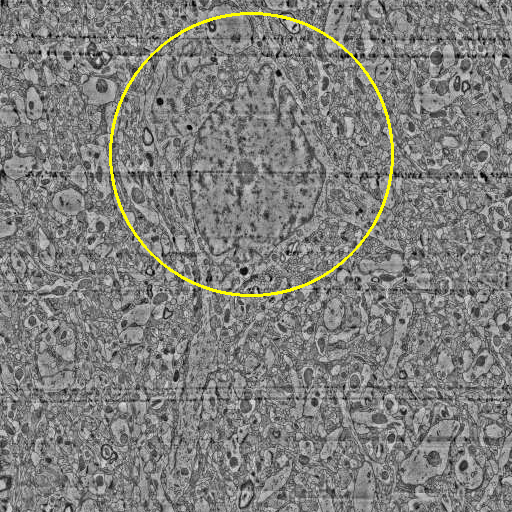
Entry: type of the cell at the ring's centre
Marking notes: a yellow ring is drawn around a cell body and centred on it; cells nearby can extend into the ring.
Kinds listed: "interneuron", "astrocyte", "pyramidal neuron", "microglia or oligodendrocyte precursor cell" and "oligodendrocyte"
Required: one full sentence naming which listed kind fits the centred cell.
My entry names an interneuron as the cell whose body the yellow ring centres on.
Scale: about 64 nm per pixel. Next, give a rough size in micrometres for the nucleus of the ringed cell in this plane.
The ringed cell's nucleus measures approximately 10 by 9 micrometres in this plane.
